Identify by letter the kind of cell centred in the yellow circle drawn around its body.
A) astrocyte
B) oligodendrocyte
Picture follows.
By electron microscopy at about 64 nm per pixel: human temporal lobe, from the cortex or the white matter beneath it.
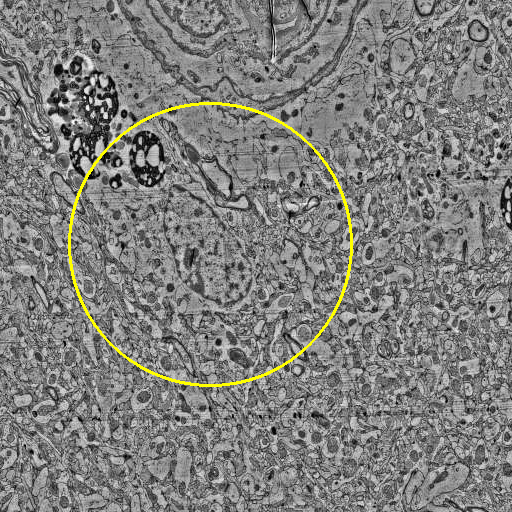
A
